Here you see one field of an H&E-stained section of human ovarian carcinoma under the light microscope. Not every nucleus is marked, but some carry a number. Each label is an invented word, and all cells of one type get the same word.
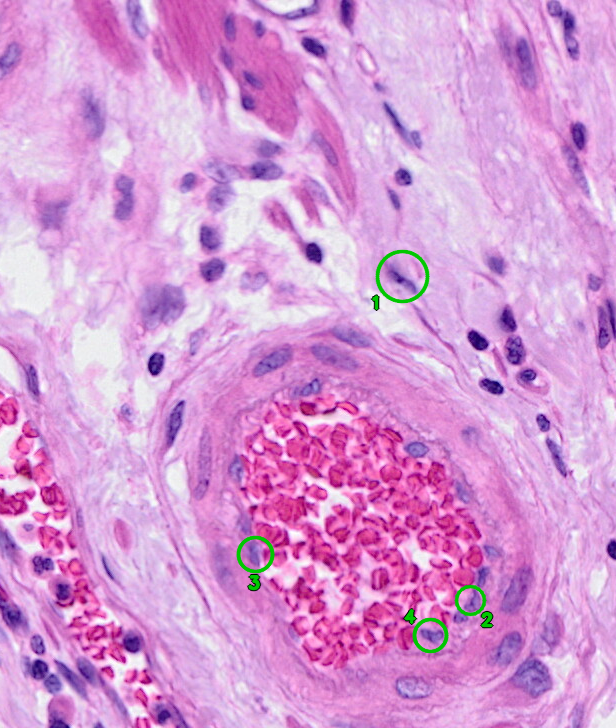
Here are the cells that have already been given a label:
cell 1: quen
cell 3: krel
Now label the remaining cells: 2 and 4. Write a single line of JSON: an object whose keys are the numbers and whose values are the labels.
{"2": "krel", "4": "krel"}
